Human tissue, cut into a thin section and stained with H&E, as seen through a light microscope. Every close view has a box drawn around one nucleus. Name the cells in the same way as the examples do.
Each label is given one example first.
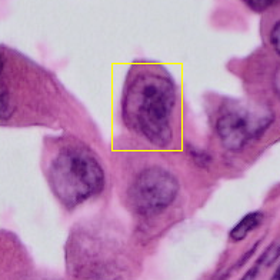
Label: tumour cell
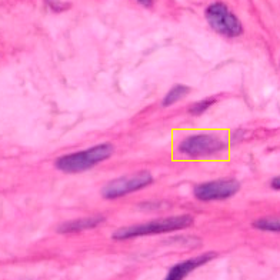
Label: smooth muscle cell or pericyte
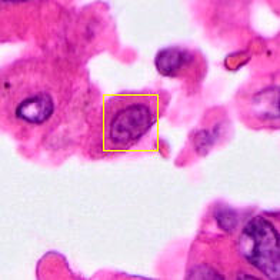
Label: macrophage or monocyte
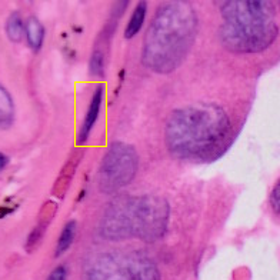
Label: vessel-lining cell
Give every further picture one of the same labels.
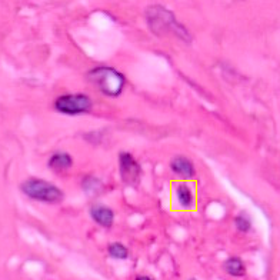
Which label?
smooth muscle cell or pericyte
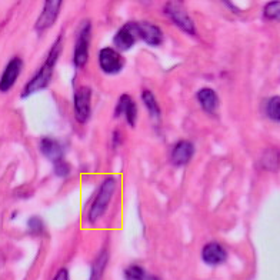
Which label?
vessel-lining cell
